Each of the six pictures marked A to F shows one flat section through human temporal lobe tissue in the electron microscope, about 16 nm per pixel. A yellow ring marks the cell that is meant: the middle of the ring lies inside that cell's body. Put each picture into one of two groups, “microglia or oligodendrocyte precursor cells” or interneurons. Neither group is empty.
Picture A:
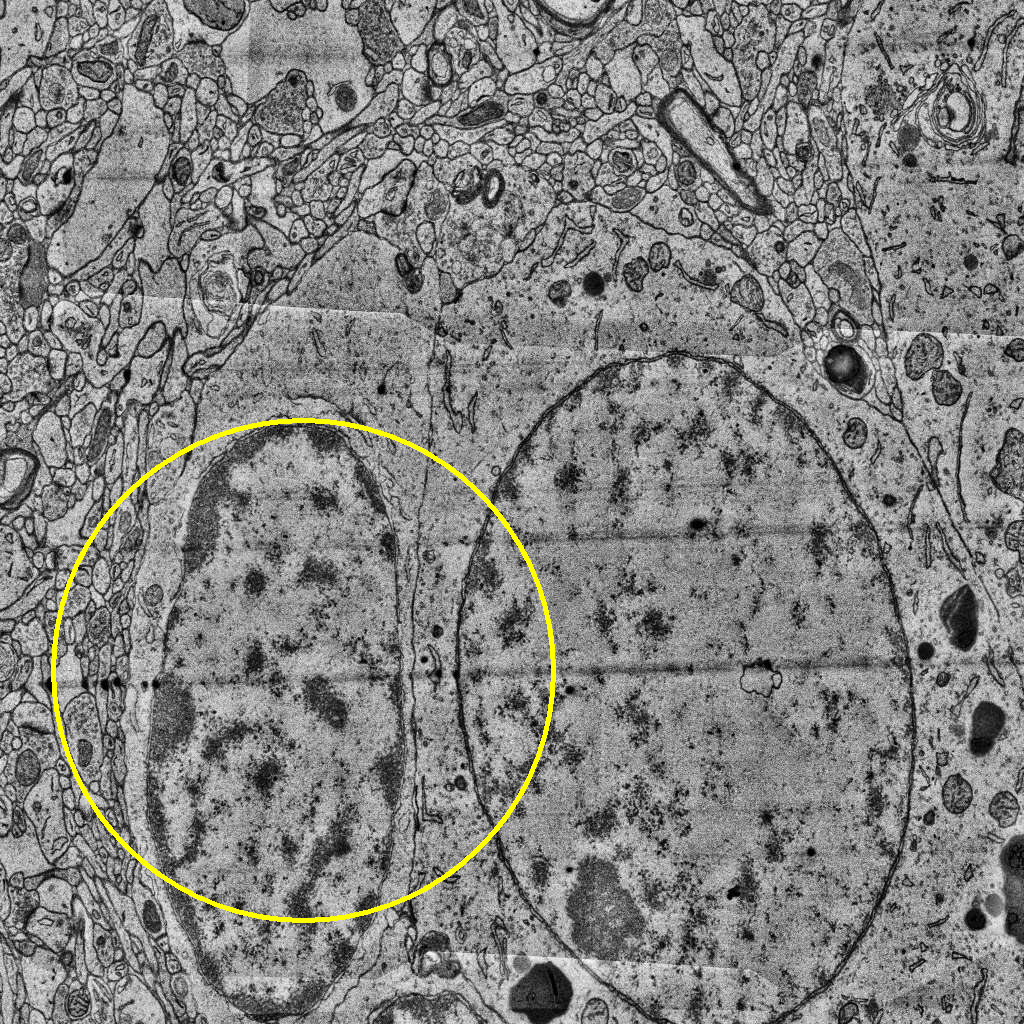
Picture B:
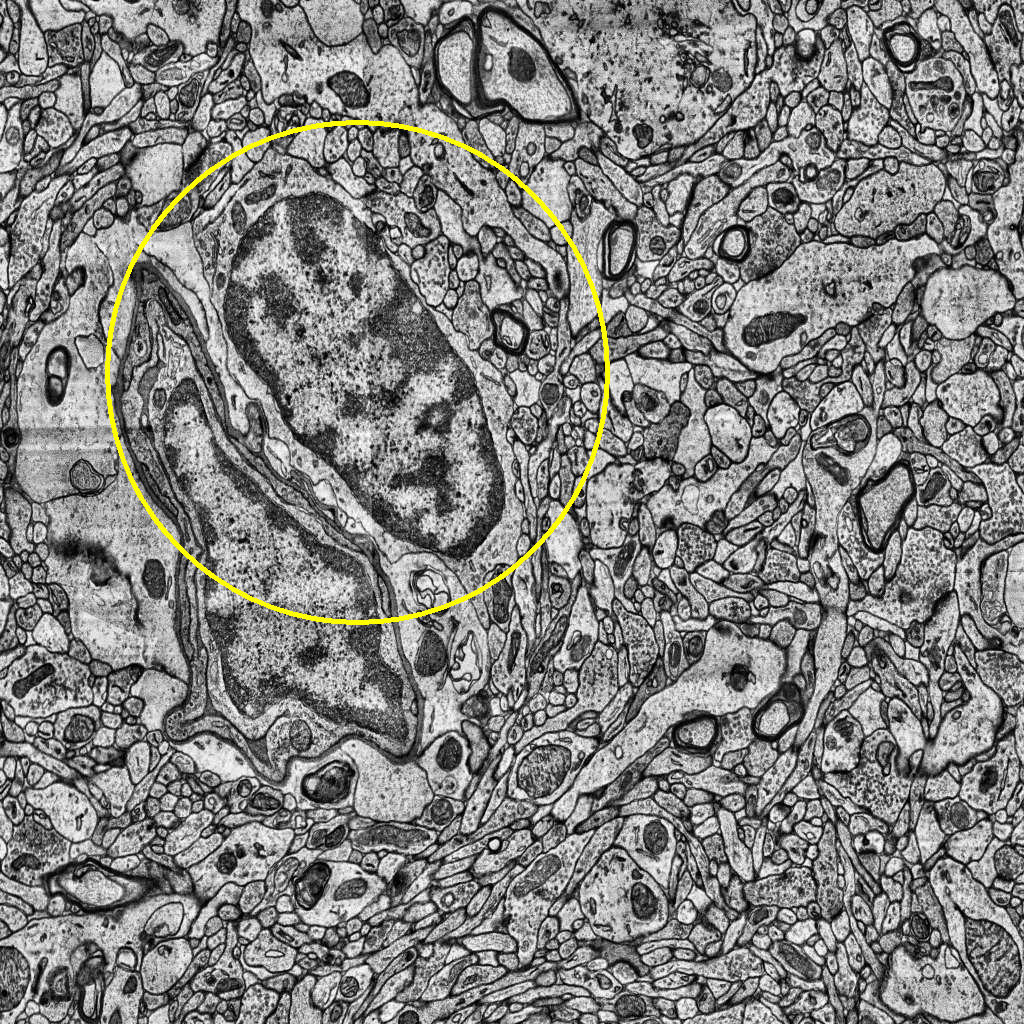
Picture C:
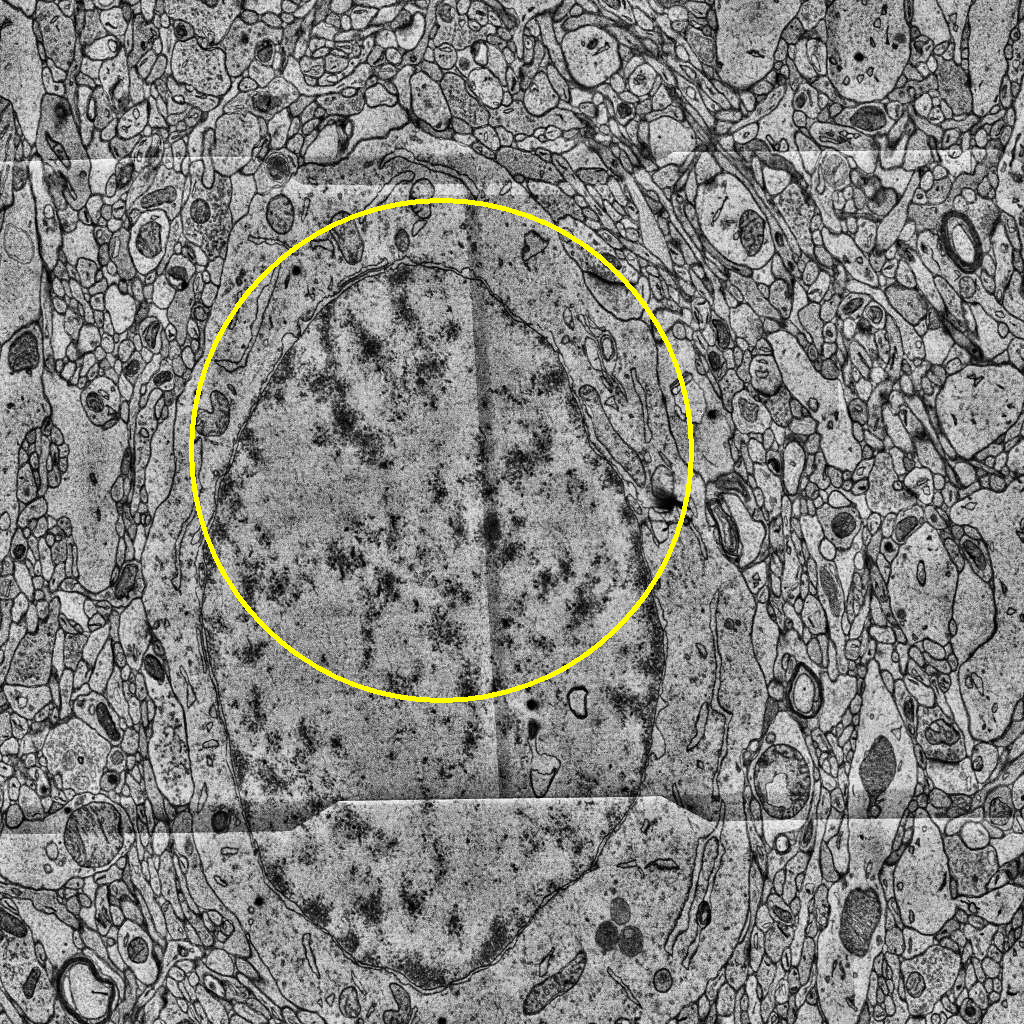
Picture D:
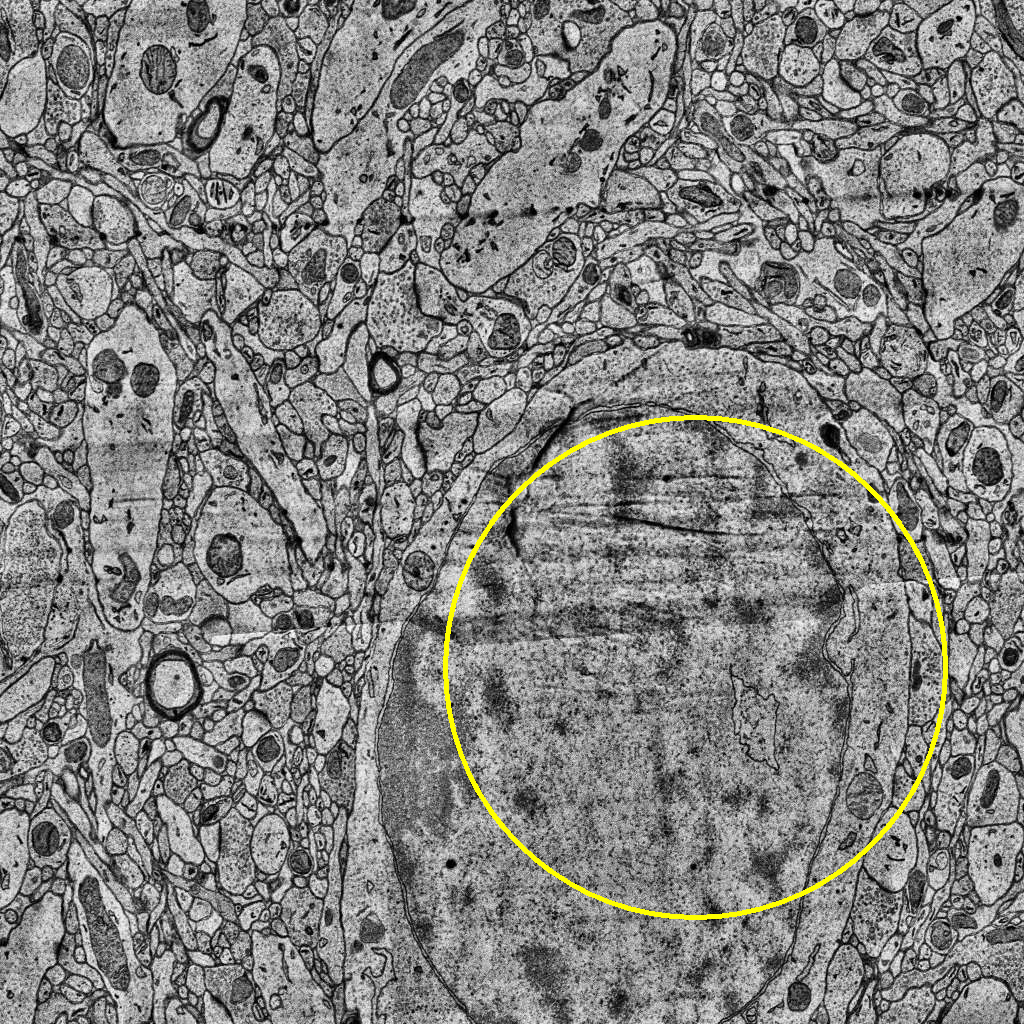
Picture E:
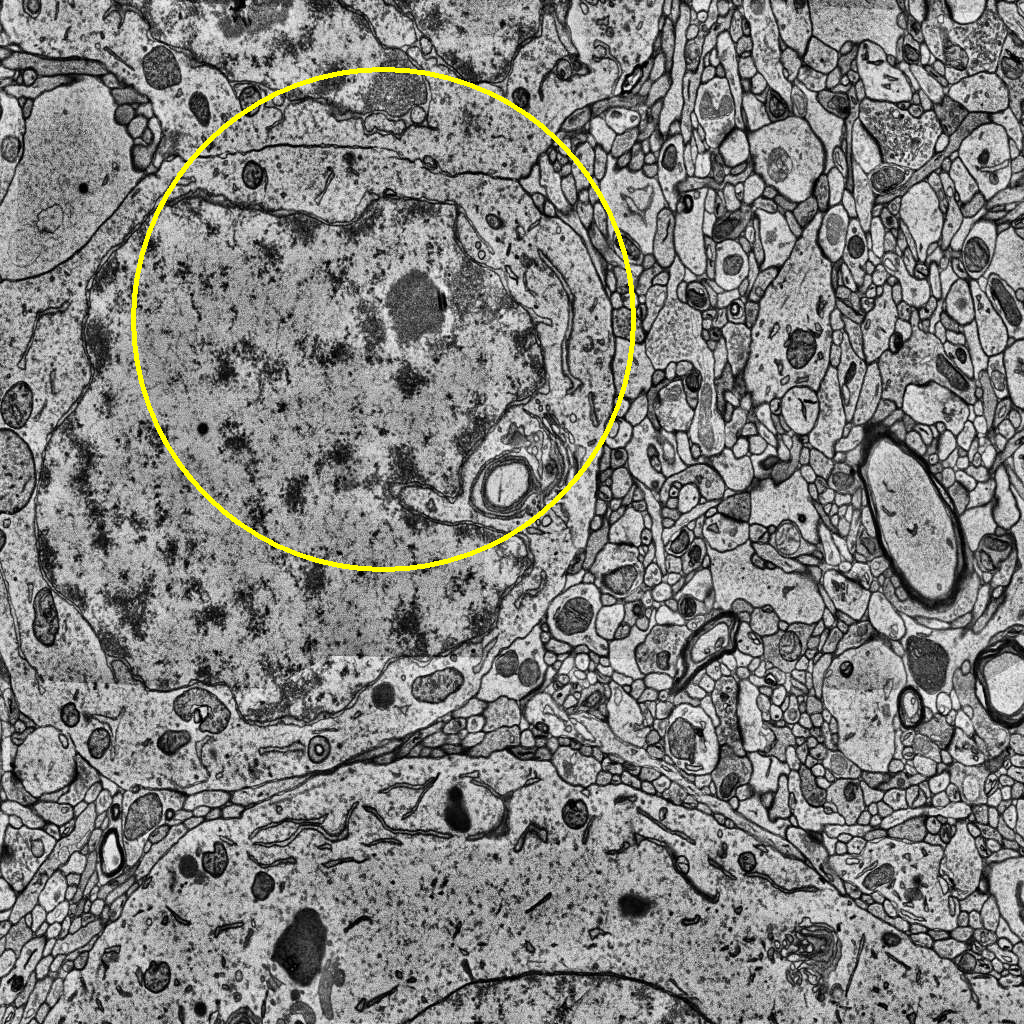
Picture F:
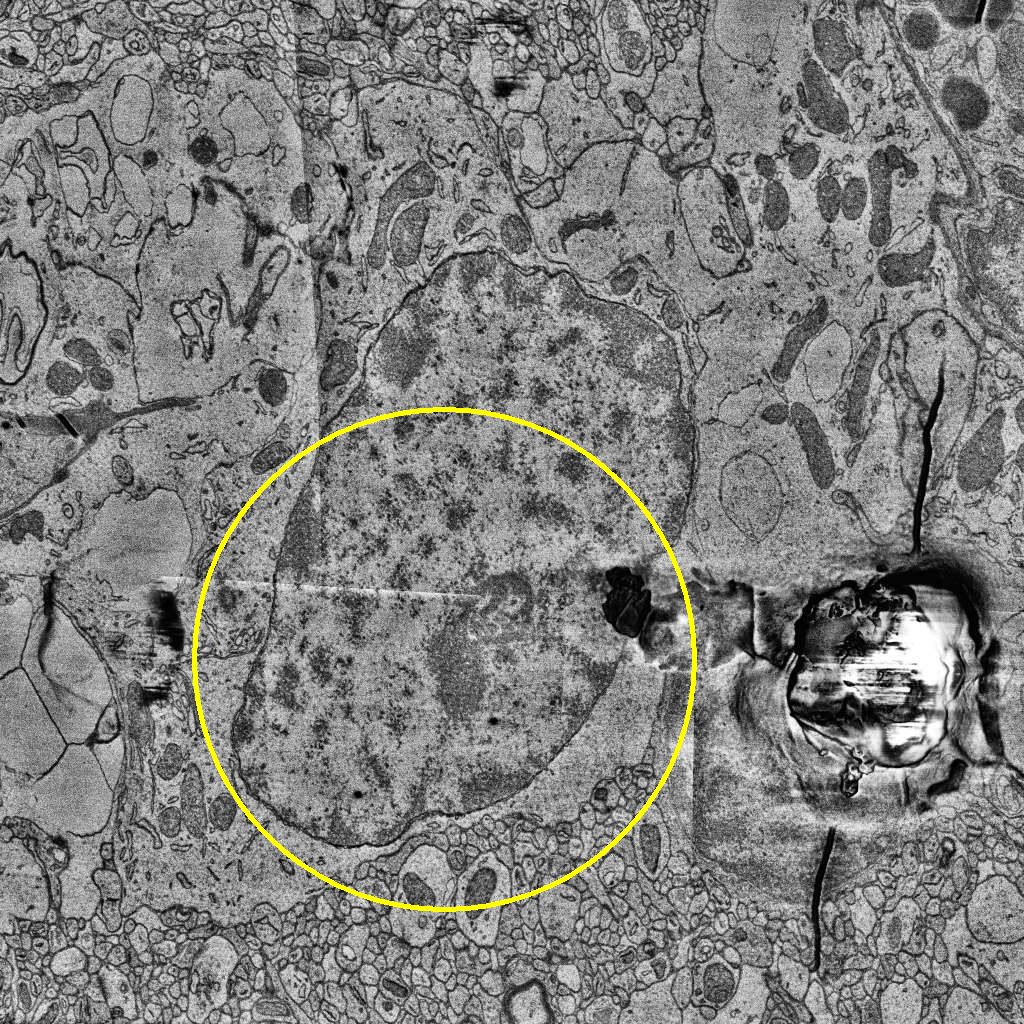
Pictures A, B and F show “microglia or oligodendrocyte precursor cells”; pictures C, D and E show interneurons.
